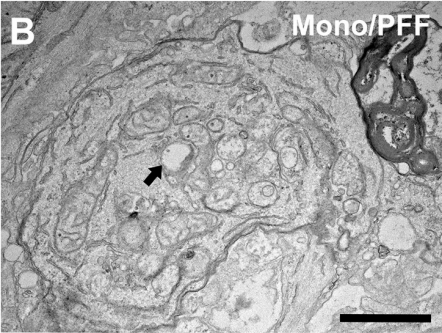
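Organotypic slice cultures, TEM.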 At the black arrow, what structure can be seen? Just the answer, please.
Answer: Double membrane vacuoles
